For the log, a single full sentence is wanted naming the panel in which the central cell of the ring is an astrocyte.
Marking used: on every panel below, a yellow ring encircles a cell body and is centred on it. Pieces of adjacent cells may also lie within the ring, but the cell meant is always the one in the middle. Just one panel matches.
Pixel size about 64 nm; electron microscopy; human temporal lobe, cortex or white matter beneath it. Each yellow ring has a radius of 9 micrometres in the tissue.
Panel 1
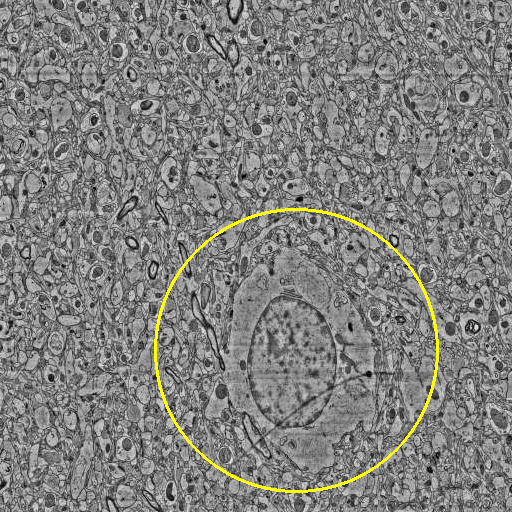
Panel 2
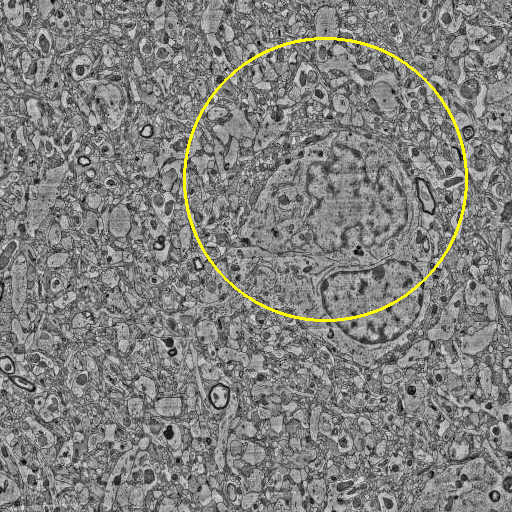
The cell in the middle of the ring in panel 1 is the one asked for.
